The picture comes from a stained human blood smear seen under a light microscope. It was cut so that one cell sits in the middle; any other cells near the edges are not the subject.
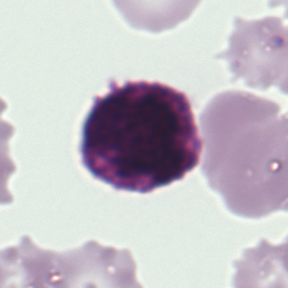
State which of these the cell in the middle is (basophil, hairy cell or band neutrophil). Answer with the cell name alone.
basophil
